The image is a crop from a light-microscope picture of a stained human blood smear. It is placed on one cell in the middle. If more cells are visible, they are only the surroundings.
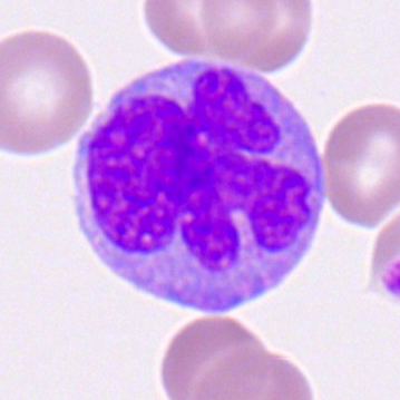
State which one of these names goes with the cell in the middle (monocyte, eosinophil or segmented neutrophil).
monocyte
